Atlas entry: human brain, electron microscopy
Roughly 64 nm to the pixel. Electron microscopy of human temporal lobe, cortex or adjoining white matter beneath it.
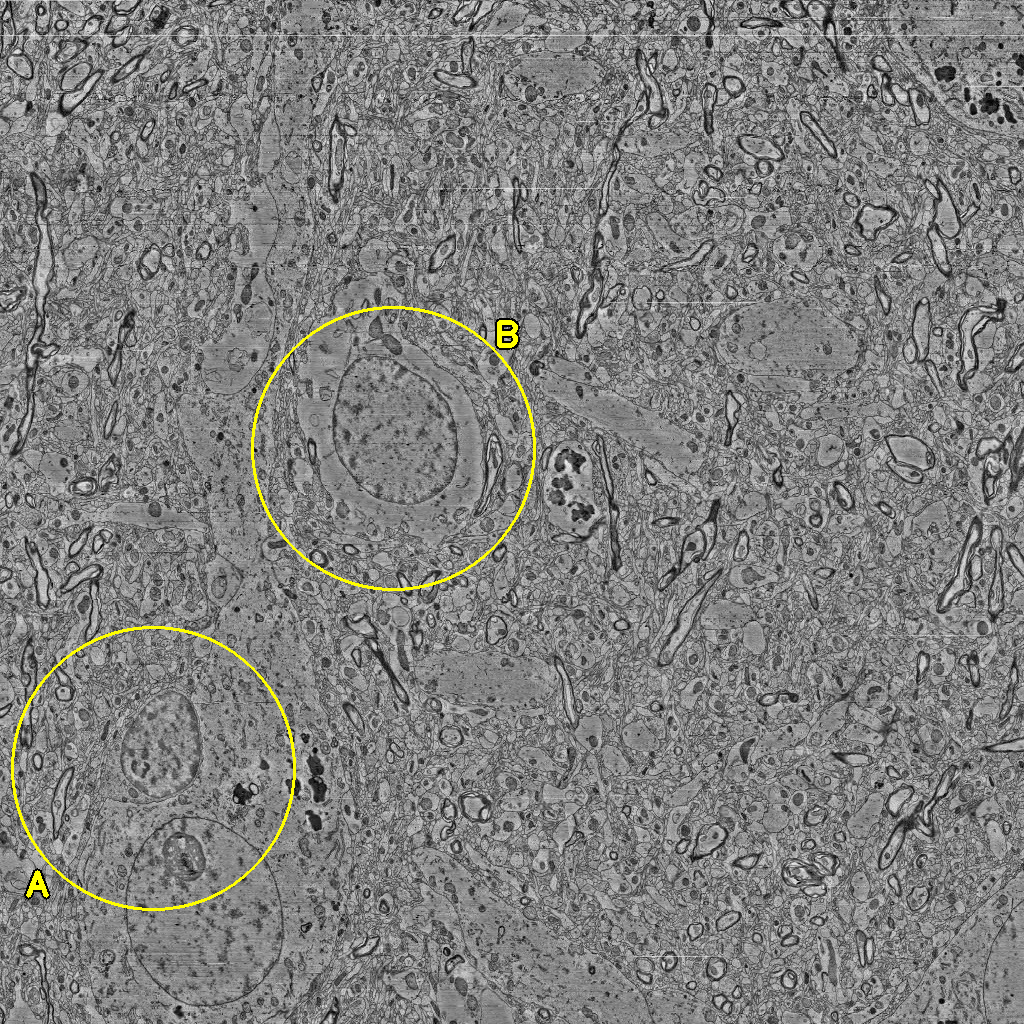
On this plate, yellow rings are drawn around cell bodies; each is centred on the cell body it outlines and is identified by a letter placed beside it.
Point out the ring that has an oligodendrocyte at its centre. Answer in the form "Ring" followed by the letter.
Ring A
